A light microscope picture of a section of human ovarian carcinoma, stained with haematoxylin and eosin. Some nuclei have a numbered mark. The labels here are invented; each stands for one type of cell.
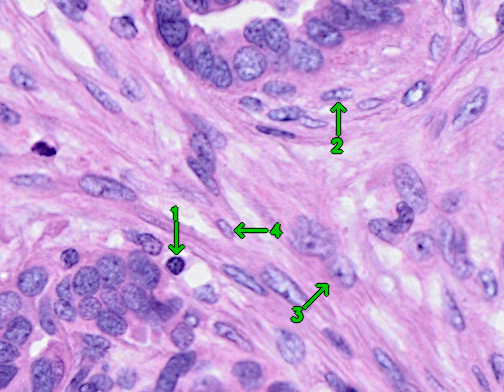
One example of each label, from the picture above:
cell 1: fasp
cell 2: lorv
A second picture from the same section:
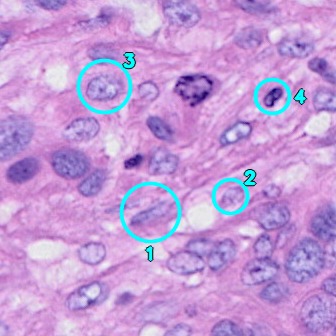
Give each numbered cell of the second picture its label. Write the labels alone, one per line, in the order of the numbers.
lorv
lorv
lorv
fasp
